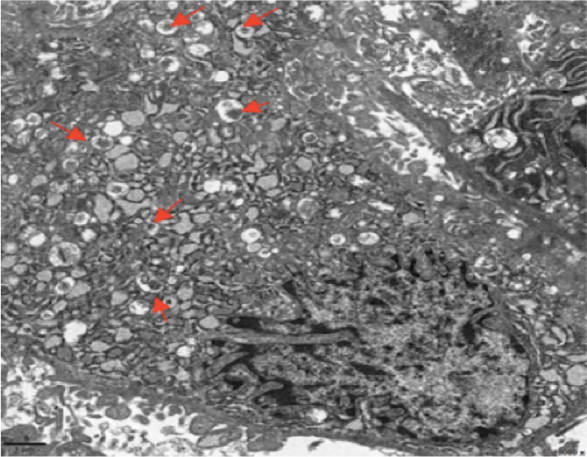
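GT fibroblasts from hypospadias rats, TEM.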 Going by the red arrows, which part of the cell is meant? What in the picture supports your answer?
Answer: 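Autophagic lysosome. The arrows point to round membrane-bound vacuoles in the cytoplasm. The vacuoles hold pale or partly dense contents.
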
